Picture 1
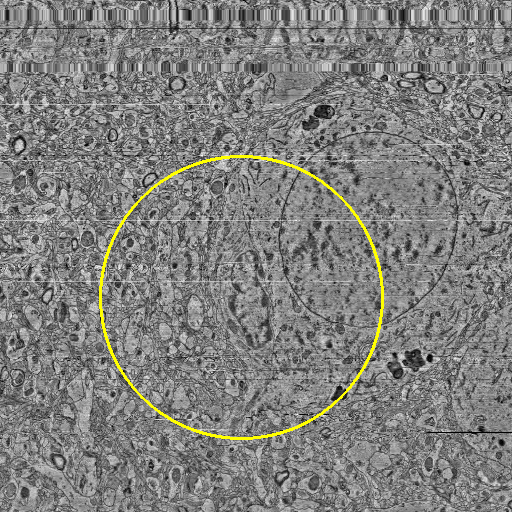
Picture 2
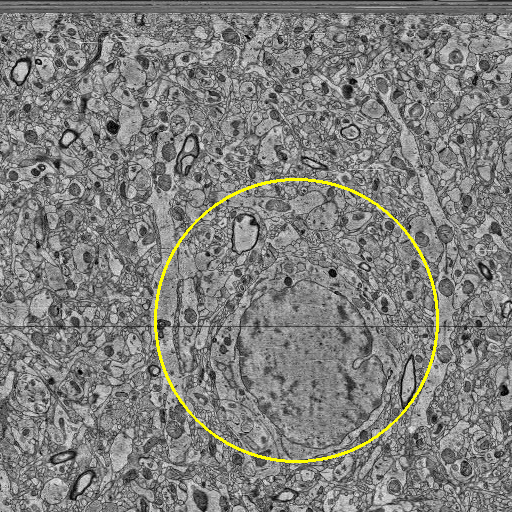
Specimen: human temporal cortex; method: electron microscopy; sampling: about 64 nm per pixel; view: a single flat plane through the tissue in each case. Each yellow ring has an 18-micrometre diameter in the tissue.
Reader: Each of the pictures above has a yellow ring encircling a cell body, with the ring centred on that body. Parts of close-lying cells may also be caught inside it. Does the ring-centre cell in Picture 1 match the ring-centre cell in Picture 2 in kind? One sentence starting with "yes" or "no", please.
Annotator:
No, Picture 1 and Picture 2 show ring-centre cells of two kinds.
